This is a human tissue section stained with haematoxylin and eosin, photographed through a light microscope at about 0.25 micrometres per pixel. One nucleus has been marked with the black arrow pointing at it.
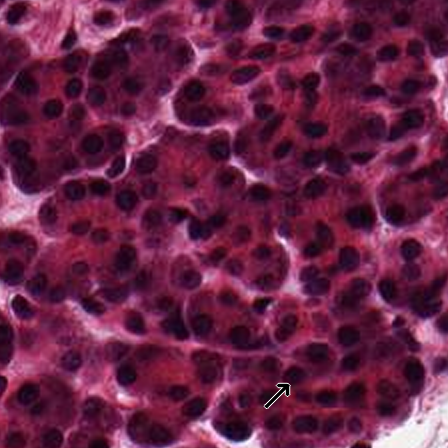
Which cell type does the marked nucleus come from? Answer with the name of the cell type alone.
pancreatic acinar cell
